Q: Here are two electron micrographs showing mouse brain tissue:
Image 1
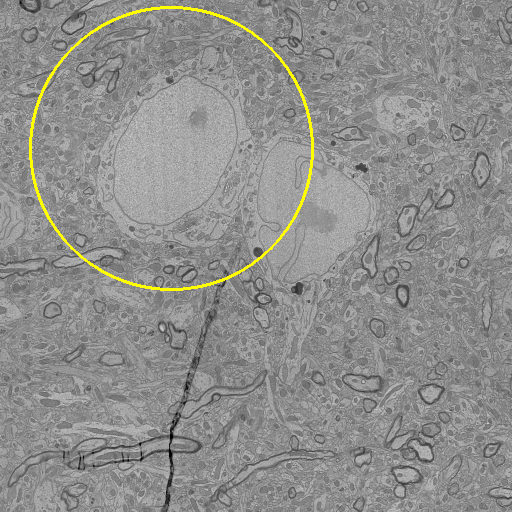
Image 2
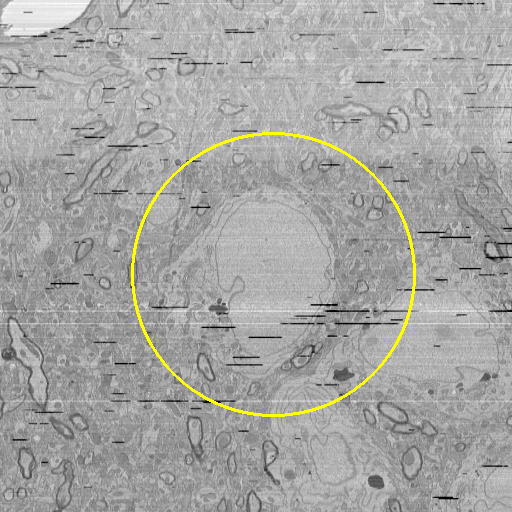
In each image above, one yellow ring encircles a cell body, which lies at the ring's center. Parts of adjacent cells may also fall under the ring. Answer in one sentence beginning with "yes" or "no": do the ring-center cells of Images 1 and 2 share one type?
Yes, in Images 1 and 2, the ring-center cells are both of one type.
